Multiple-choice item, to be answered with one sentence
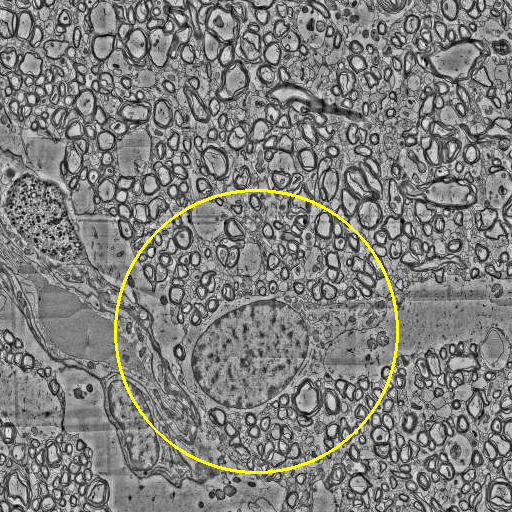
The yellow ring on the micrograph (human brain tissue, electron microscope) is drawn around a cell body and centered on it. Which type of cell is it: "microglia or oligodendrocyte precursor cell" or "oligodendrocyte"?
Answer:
The ring is centered on a microglial cell or oligodendrocyte precursor cell.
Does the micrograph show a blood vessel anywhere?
Yes, one is visible.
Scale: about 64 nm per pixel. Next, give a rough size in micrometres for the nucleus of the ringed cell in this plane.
In this plane, the nucleus is roughly 8 by 6 micrometres.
